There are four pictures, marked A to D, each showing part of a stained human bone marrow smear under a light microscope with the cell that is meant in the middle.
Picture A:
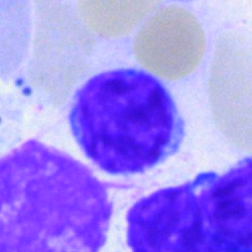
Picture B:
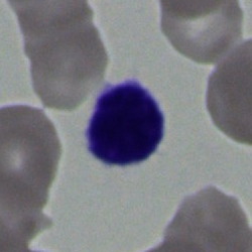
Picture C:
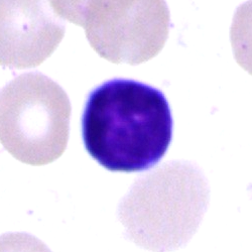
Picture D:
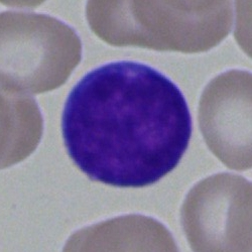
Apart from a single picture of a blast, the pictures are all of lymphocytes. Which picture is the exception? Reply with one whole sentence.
The blast is the one in picture D.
